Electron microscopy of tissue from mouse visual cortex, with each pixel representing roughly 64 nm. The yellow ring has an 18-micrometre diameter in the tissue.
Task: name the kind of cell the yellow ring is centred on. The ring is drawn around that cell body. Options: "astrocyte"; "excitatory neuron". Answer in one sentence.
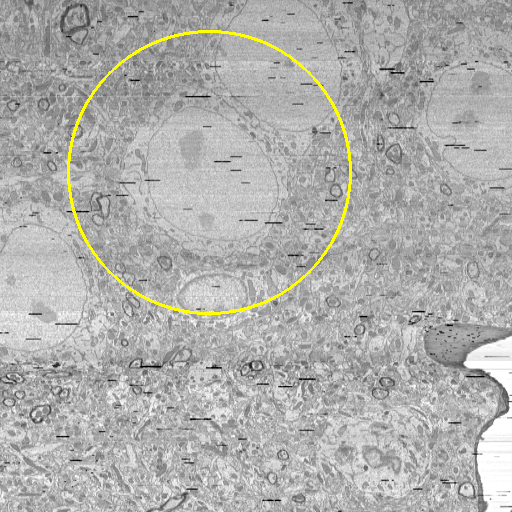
This cell body belongs to an excitatory neuron.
